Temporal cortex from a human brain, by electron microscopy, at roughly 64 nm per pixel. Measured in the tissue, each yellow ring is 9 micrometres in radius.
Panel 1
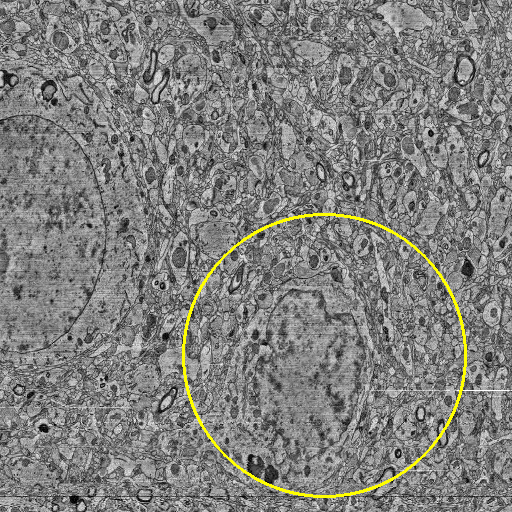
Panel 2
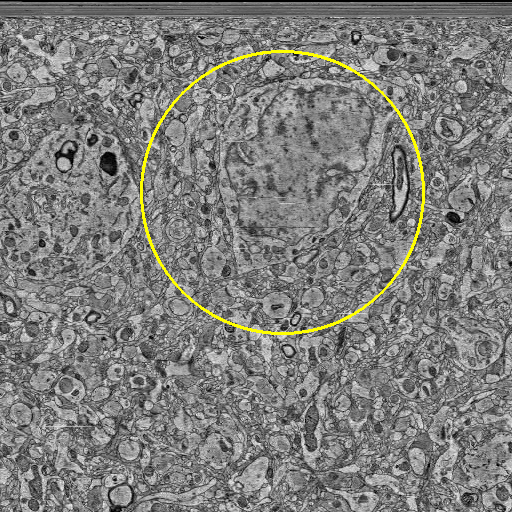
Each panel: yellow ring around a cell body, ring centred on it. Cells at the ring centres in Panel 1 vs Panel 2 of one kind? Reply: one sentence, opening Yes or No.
Yes, Panel 1 and Panel 2 have cells of one kind at the ring centres.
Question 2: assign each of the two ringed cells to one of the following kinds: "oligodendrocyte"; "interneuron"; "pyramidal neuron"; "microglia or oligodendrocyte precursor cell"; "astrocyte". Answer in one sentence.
Each cell at the centre of a ring is an interneuron.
